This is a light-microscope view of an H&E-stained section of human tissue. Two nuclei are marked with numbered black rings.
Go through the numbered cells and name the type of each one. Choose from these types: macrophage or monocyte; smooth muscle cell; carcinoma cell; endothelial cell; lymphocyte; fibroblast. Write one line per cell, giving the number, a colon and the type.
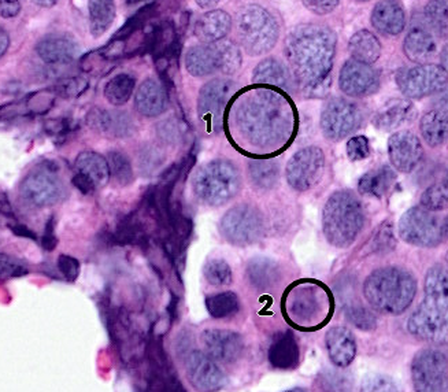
1: carcinoma cell
2: macrophage or monocyte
